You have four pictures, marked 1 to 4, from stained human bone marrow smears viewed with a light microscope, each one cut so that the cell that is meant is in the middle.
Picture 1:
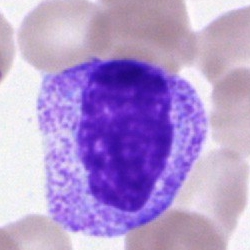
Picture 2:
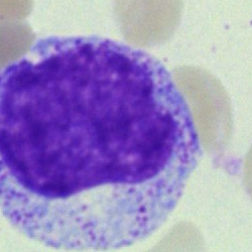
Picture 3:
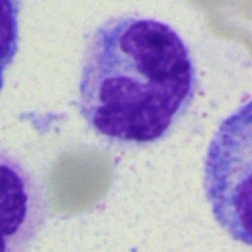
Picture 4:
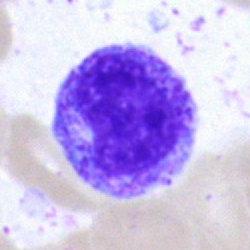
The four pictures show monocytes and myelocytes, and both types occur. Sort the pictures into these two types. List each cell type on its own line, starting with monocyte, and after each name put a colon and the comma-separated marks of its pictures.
monocyte: 3
myelocyte: 1, 2, 4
